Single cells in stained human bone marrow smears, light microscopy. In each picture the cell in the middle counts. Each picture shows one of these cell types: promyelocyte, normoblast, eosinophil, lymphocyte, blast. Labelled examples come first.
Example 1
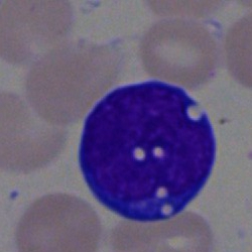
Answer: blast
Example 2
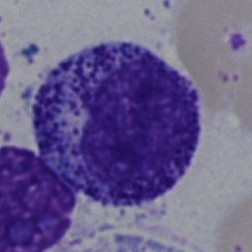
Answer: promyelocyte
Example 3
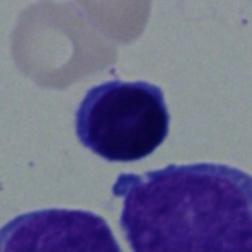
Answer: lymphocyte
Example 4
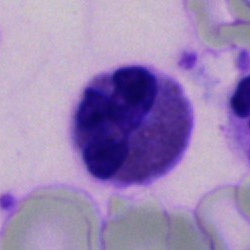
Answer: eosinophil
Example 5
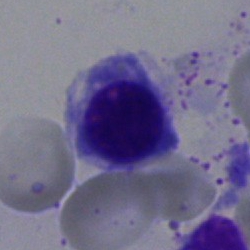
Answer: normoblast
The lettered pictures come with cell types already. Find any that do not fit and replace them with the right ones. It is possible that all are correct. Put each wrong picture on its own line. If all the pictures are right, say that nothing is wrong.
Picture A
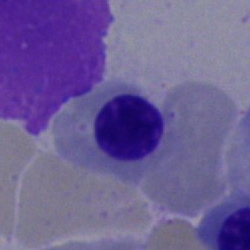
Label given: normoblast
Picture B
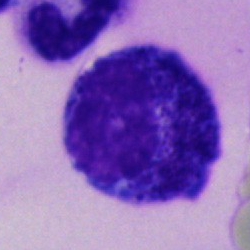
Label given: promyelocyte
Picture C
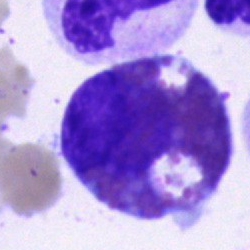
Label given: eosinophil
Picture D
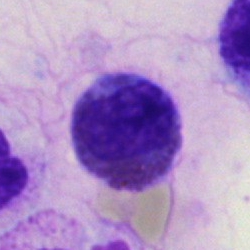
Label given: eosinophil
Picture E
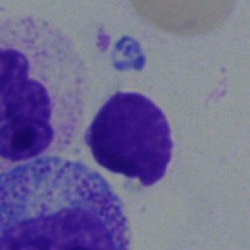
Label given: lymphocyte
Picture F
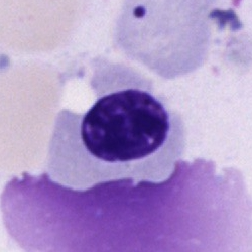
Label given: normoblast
Every label is right.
